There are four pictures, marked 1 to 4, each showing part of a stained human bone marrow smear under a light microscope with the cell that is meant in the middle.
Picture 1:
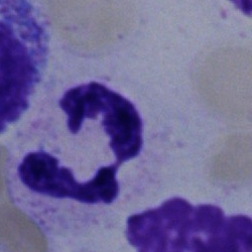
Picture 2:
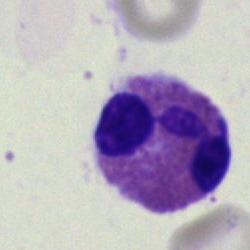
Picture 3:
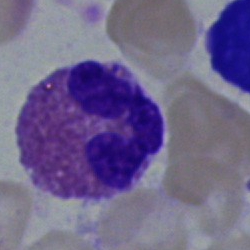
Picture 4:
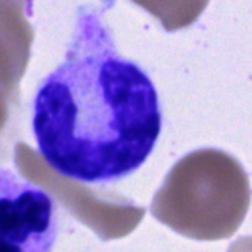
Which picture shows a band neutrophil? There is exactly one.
4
